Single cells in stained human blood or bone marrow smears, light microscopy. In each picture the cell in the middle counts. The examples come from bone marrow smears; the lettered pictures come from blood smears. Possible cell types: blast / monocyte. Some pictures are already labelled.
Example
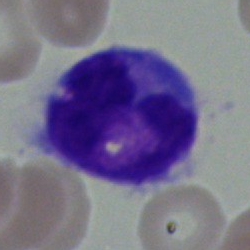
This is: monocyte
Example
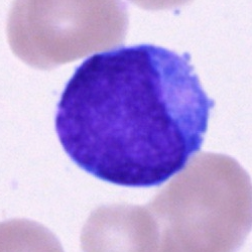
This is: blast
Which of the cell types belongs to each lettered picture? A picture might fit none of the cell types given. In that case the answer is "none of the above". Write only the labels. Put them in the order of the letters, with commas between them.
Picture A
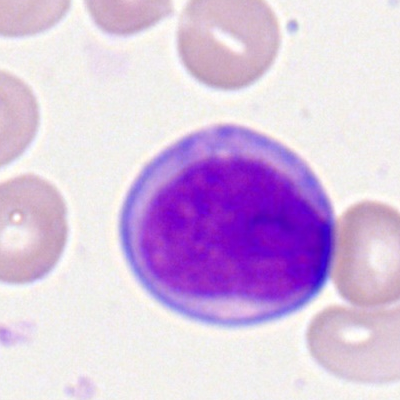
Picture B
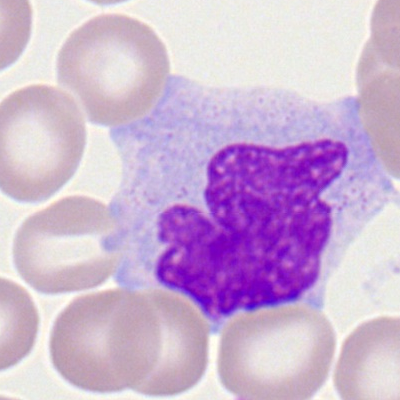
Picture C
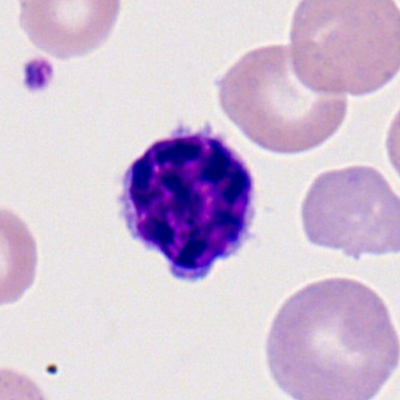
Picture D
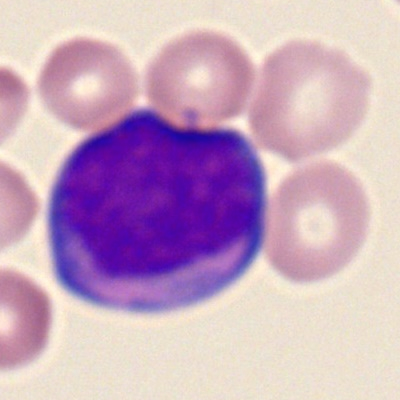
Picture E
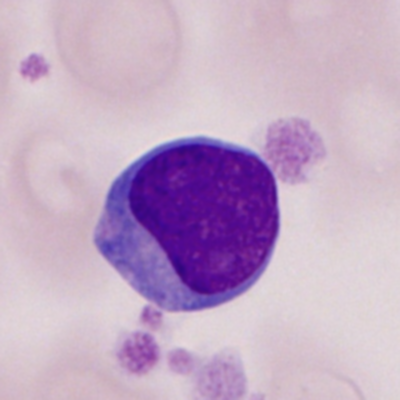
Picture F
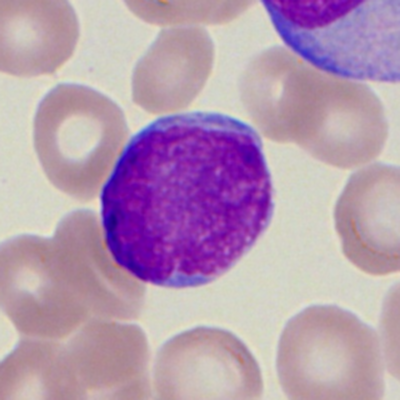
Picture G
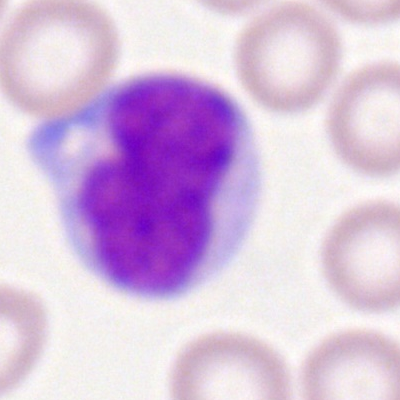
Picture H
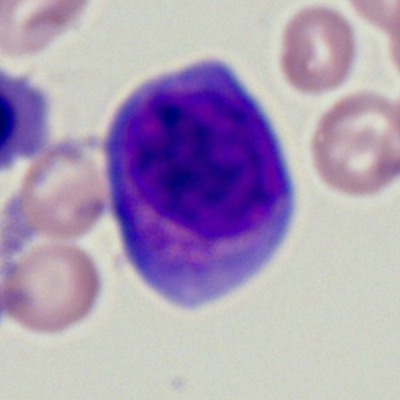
blast, monocyte, none of the above, blast, blast, blast, monocyte, blast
